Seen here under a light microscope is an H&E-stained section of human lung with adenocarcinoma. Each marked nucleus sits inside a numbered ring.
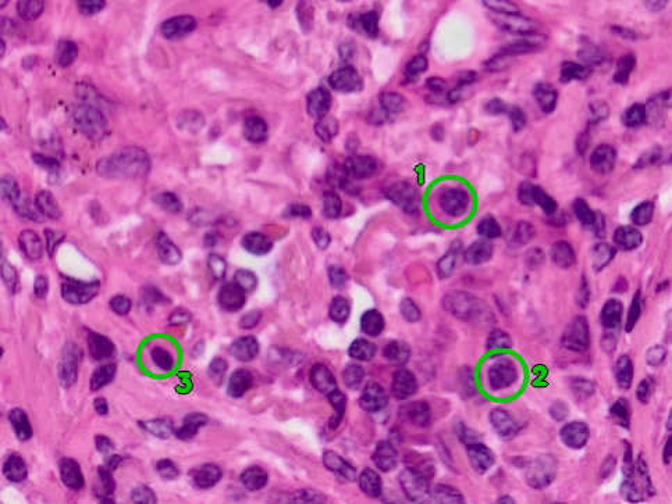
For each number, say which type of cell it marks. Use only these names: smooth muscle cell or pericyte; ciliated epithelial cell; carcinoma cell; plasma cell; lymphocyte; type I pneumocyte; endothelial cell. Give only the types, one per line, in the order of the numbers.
plasma cell
lymphocyte
plasma cell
